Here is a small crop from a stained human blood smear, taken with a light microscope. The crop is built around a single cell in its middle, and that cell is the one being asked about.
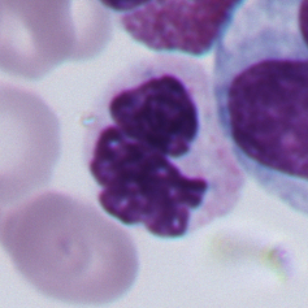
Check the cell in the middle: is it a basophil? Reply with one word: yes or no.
no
